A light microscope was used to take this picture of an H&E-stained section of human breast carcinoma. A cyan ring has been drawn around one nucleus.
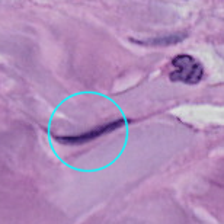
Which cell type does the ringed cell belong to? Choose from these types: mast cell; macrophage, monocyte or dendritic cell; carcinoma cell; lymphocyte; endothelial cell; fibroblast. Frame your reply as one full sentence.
In short, the ringed cell on this section is a fibroblast.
